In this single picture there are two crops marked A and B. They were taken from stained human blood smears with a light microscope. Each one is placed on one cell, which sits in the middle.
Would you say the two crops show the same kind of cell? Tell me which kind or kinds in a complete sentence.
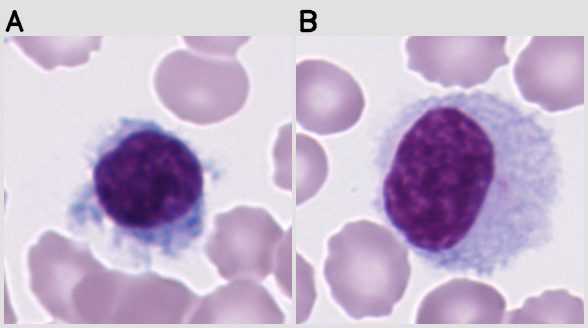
Yes, the cells in the centres of the two crops are hairy cells.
